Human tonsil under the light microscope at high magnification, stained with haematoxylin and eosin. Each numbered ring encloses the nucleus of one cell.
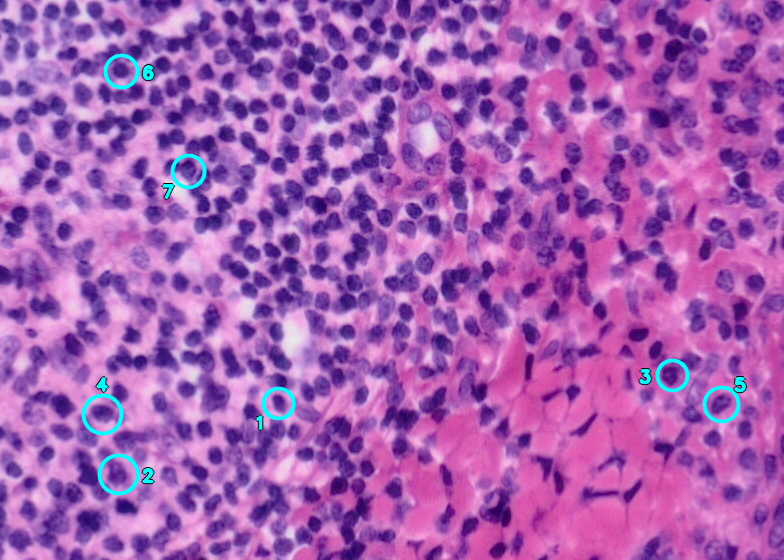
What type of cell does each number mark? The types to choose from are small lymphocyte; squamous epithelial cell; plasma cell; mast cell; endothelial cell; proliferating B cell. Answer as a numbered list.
1. small lymphocyte
2. proliferating B cell
3. plasma cell
4. proliferating B cell
5. plasma cell
6. small lymphocyte
7. small lymphocyte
